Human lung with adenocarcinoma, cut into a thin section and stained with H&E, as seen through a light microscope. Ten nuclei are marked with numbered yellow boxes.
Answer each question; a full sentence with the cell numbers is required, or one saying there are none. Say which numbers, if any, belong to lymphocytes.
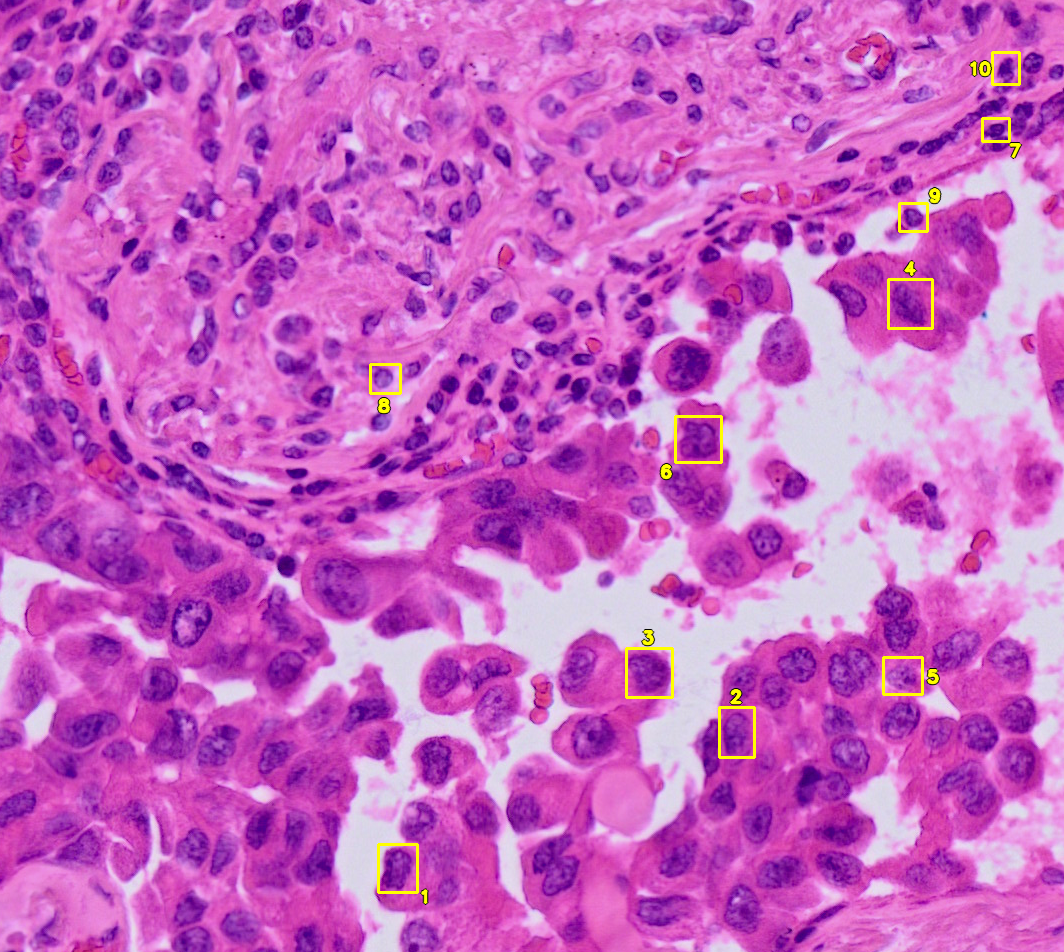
Cells 7, 8, 9 and 10 are classified as lymphocytes.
